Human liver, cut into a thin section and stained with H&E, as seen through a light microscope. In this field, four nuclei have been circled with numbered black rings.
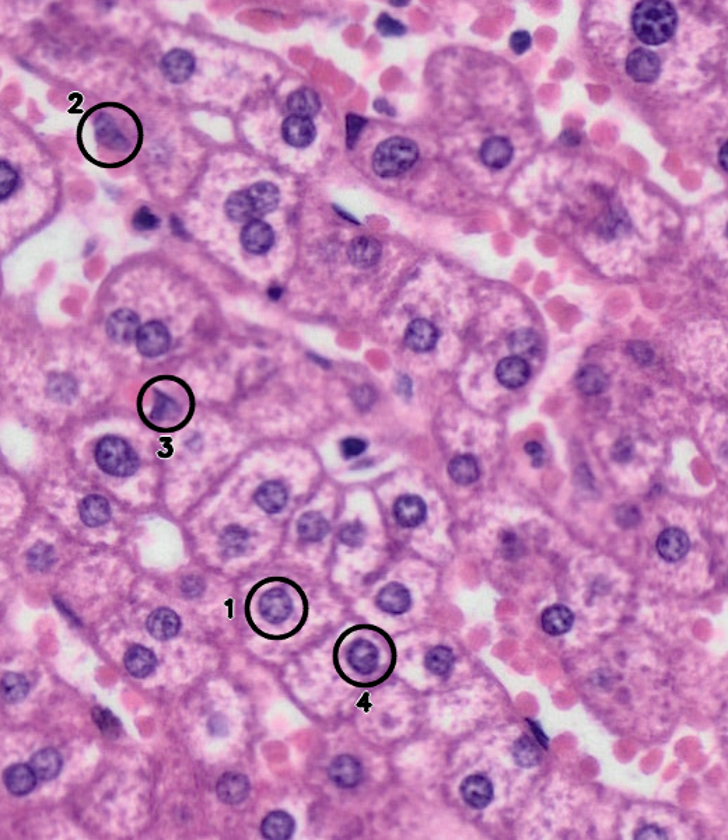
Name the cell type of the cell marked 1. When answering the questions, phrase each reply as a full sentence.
Marked with the number 1, this cell is a hepatocyte.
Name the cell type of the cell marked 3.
To an endothelial cell belongs the nucleus marked 3.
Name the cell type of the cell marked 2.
The cell whose nucleus carries the number 2 is a Kupffer cell.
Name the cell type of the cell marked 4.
Regarding cell 4, this one is a hepatocyte.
